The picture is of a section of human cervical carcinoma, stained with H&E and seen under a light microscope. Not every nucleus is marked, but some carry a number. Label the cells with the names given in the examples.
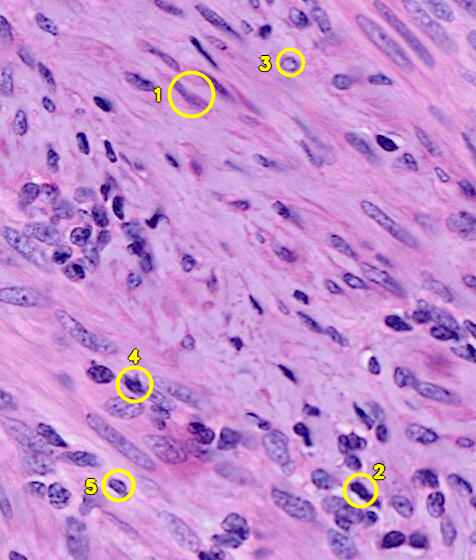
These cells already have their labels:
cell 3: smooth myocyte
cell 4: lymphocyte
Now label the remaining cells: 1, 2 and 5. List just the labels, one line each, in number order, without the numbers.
smooth myocyte
lymphocyte
lymphocyte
